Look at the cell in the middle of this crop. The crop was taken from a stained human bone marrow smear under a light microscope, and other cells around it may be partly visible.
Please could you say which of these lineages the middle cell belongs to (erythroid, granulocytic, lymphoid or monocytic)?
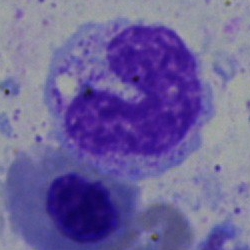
monocytic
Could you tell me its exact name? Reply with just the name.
monocyte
